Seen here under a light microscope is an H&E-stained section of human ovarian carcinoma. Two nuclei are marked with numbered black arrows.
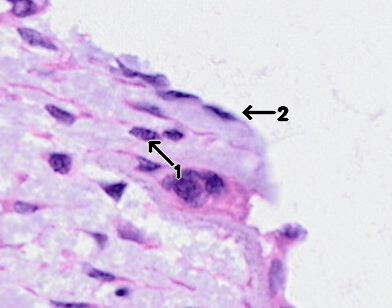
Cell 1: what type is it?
fibroblast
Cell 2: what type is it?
endothelial cell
